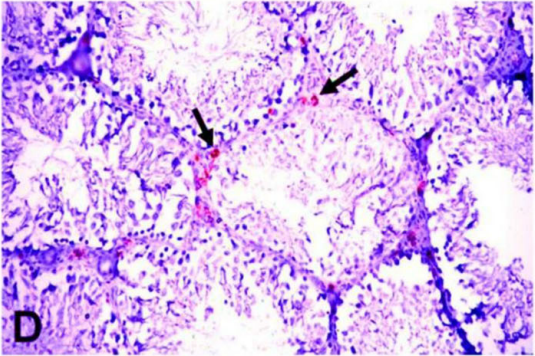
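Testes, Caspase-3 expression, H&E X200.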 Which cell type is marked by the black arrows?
Leydig cells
